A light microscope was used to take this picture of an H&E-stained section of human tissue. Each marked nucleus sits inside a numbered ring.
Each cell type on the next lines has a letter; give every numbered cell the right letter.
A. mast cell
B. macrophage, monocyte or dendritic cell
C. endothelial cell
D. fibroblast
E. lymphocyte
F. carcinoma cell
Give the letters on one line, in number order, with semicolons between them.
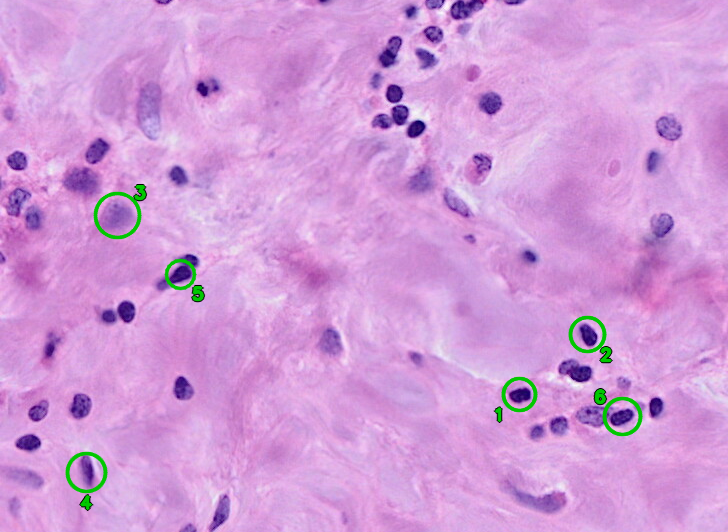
E; E; D; D; E; E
